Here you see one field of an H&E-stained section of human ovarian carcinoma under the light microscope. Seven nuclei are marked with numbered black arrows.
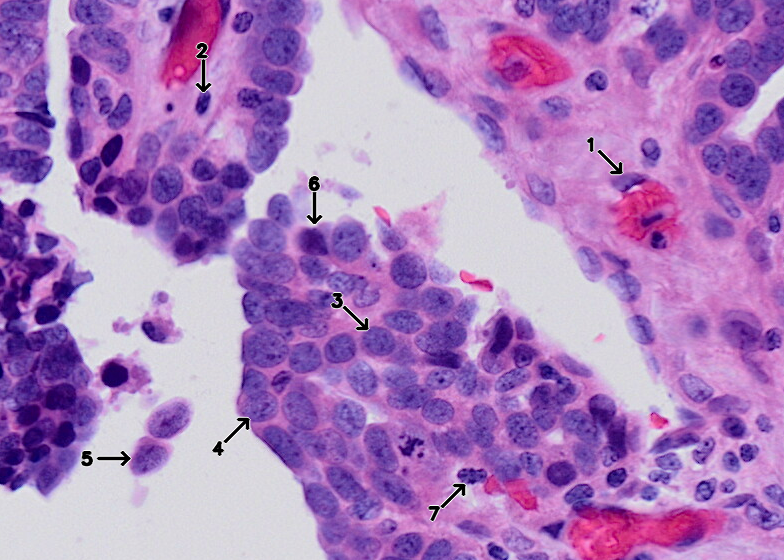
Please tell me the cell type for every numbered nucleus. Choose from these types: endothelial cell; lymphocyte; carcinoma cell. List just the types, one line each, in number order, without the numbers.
endothelial cell
lymphocyte
carcinoma cell
carcinoma cell
carcinoma cell
carcinoma cell
lymphocyte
